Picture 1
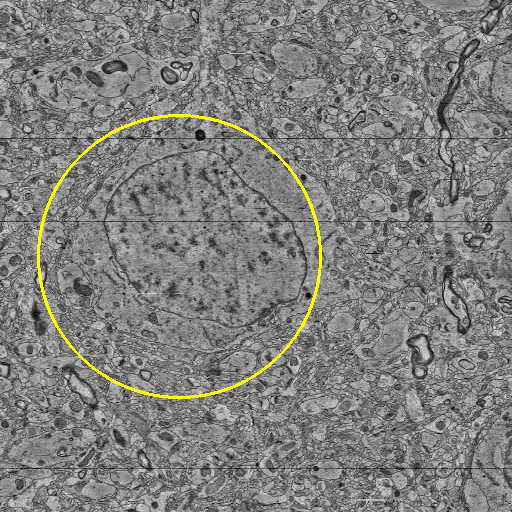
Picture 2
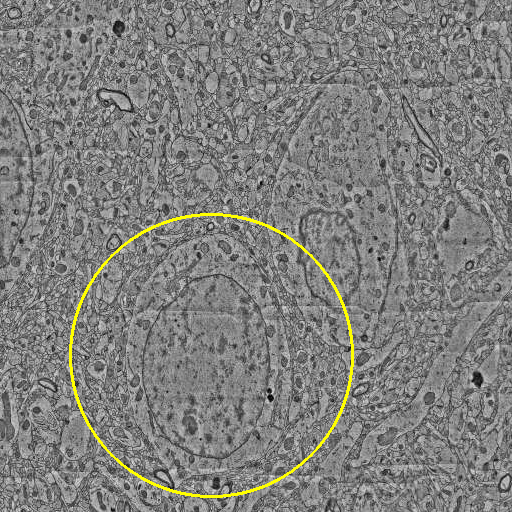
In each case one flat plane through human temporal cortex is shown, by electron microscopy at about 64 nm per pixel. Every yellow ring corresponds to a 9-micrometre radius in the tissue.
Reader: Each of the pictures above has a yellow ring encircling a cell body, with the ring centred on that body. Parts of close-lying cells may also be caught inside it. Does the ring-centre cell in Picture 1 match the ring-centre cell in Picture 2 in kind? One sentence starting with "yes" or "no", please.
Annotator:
Yes, Picture 1 and Picture 2 show ring-centre cells of a single kind.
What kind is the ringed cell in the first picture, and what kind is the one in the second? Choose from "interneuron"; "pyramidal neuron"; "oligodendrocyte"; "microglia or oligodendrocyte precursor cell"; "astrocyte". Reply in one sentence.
Each of the two cells is a pyramidal neuron.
